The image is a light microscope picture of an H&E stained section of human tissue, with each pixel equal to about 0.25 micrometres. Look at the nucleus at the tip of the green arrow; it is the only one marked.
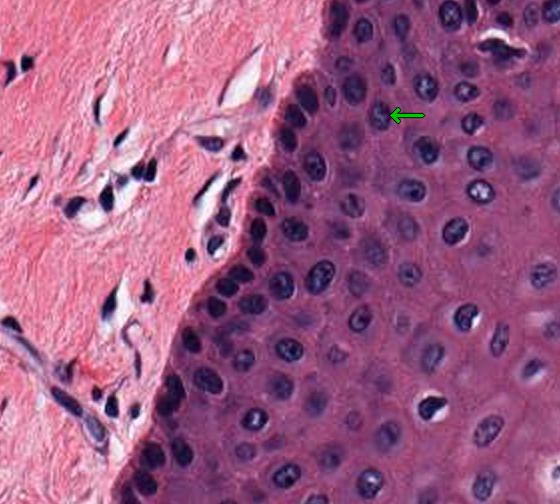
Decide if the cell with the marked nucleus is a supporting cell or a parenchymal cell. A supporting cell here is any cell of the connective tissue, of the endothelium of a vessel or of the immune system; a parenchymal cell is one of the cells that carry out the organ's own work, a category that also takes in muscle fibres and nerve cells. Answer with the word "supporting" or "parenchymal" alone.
parenchymal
